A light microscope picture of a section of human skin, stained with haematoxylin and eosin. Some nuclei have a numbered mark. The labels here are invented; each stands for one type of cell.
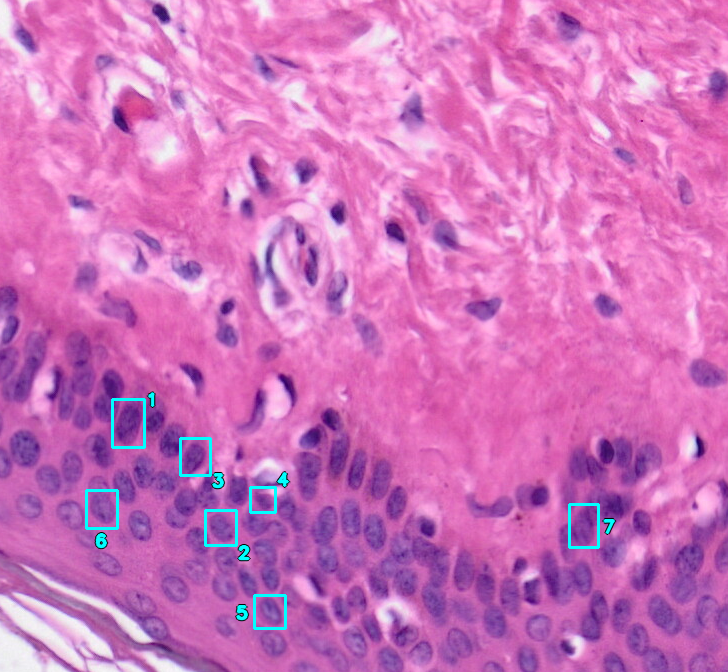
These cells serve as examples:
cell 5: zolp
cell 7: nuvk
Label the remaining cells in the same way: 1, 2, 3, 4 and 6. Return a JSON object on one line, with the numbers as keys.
{"1": "nuvk", "2": "zolp", "3": "nuvk", "4": "nuvk", "6": "zolp"}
